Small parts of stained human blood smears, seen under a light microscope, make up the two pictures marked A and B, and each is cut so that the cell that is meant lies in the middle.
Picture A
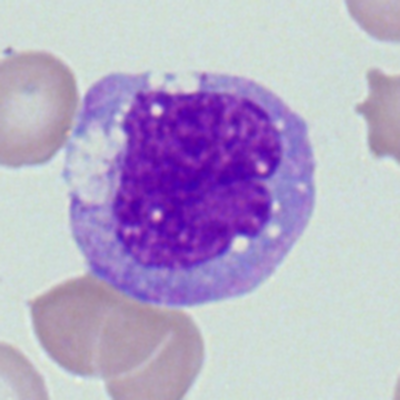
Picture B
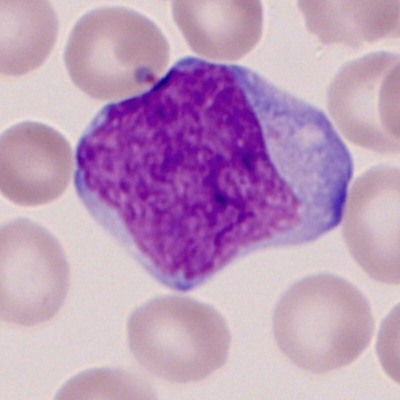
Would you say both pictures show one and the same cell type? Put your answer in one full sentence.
No; the cell in picture A is a monocyte, while the one in picture B is a myeloblast.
